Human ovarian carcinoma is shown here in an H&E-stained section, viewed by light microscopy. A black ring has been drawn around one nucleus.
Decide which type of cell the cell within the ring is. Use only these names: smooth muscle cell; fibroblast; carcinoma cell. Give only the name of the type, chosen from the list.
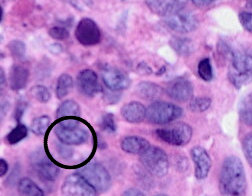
carcinoma cell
